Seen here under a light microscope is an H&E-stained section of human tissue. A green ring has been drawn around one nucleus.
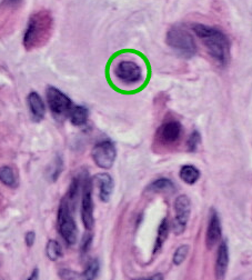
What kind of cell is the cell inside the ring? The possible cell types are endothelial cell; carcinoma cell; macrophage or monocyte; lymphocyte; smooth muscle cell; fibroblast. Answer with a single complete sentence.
The cell inside the ring appears to be a lymphocyte.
